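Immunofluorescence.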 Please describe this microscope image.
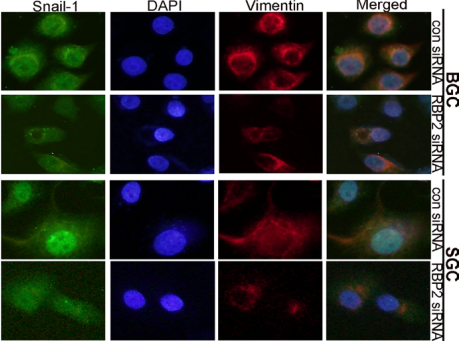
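The green stain fills much of each cell and is strongest over the nucleus in several cells, while the red stain forms a fibrous network in the cytoplasm that wraps around the nucleus and reaches out toward the cell edges. The cells are spread apart from each other rather than packed into a sheet, and in some rows the red network is much fainter and patchier.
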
